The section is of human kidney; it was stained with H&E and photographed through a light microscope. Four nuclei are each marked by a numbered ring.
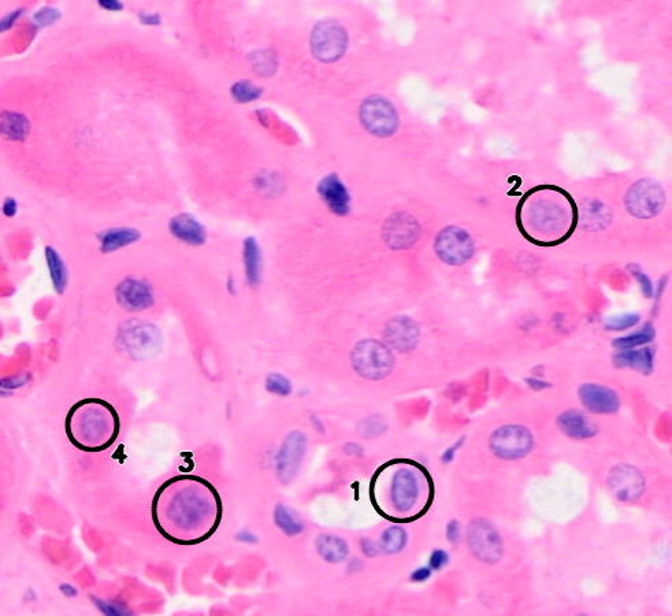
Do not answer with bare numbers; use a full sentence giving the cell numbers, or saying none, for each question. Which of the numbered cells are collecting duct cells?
A single numbered cell, cell 1, is a collecting duct cell.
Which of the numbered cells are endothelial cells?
Of the numbered cells, none are endothelial cells.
